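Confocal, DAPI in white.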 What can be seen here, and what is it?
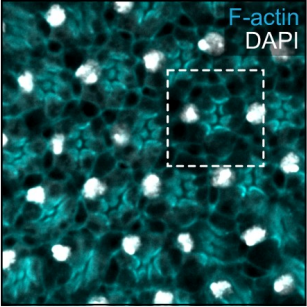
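Bright white, roundish nuclei lie in a regular array, roughly one per repeating unit of the eye's lattice. The repeating pattern of cyan clusters and white nuclei reflects the ordered packing of the eye's units, and a dashed white box frames one unit.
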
